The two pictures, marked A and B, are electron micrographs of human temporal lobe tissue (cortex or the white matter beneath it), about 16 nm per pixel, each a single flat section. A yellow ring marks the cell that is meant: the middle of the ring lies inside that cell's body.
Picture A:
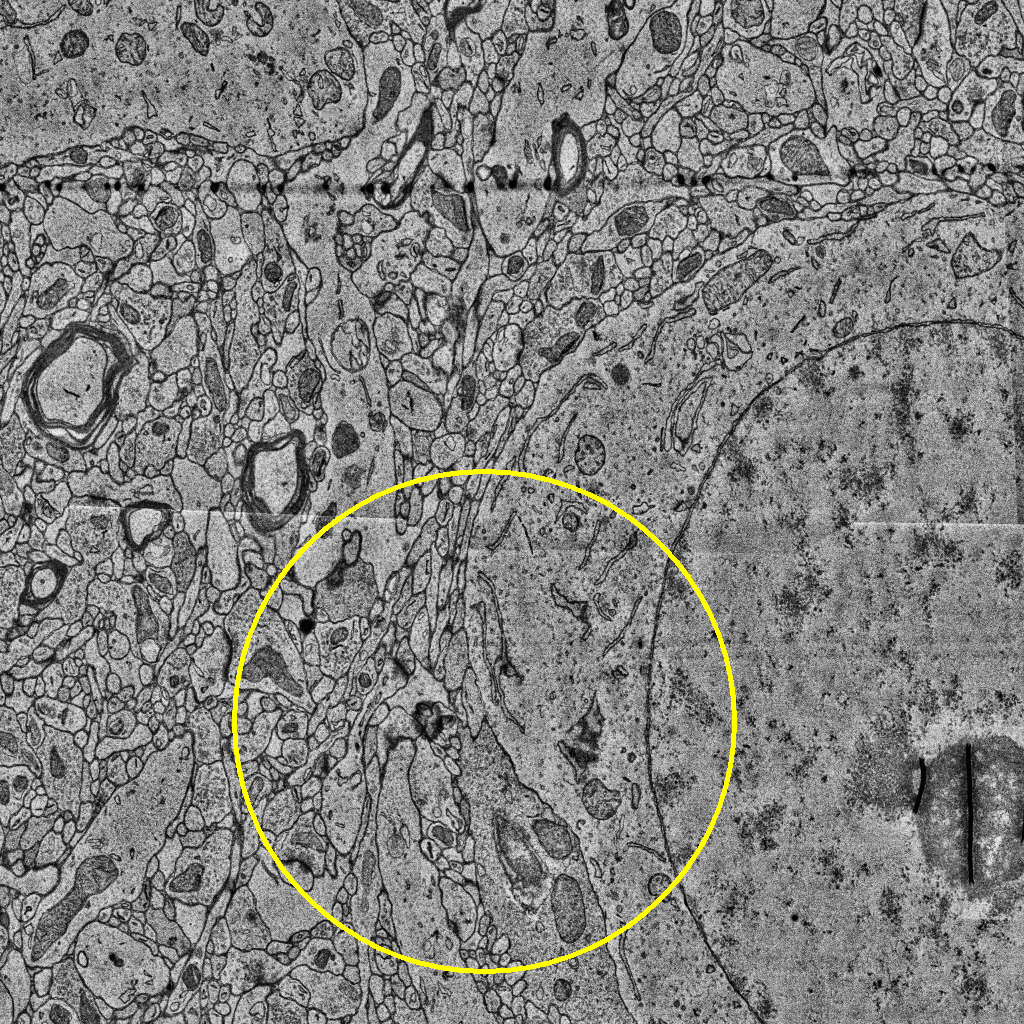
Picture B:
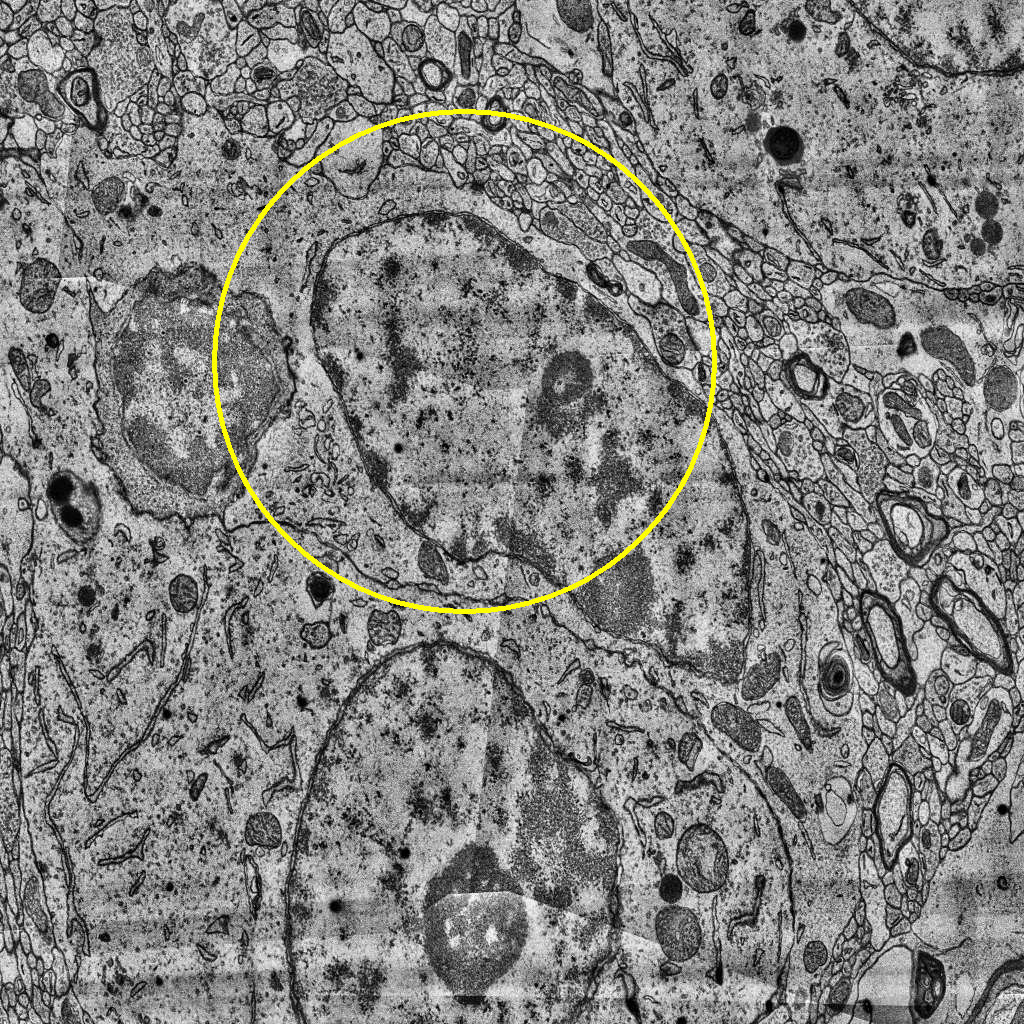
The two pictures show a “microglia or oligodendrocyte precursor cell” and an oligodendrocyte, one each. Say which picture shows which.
Picture A shows an oligodendrocyte and picture B shows a “microglia or oligodendrocyte precursor cell”.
